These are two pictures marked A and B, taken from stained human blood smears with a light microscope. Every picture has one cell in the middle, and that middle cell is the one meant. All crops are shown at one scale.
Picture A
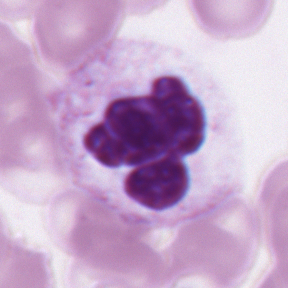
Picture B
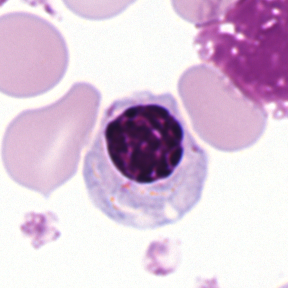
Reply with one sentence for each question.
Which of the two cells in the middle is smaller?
The cell in picture B is smaller; the one in picture A has about 1.5 times its area.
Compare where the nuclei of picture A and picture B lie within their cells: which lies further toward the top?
Seen within its cell, the nucleus in picture B lies further toward the top.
